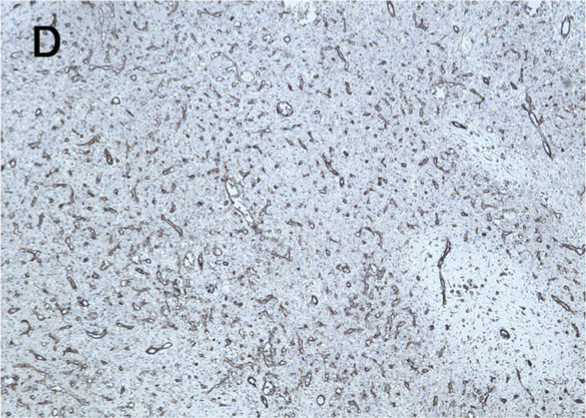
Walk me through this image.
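This low-power view of the lesion shows countless small vascular channels, each rimmed by a thin brown line of lining cells. The channels are round, oval or slit-like and are packed closely without any orderly arrangement, while the blue-counterstained tissue between them stays pale.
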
